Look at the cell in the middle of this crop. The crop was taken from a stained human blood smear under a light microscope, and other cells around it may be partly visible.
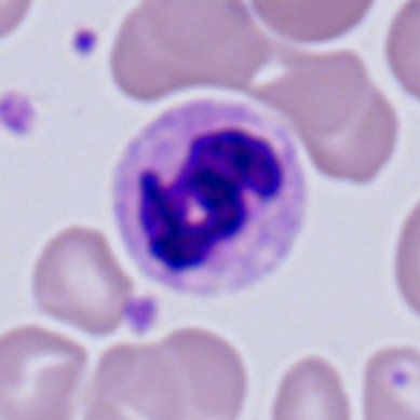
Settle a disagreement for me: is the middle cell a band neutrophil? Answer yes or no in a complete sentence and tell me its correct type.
No, mark the middle cell as a segmented neutrophil, not a band neutrophil.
